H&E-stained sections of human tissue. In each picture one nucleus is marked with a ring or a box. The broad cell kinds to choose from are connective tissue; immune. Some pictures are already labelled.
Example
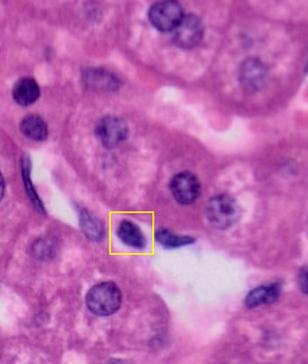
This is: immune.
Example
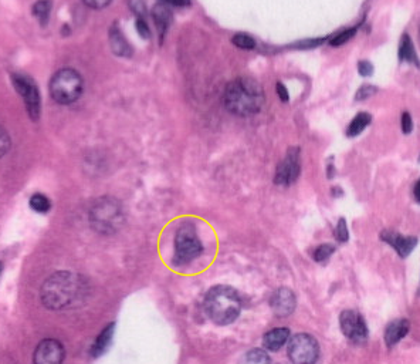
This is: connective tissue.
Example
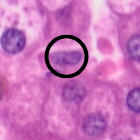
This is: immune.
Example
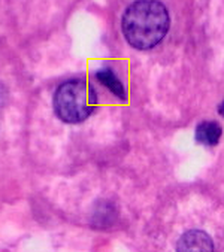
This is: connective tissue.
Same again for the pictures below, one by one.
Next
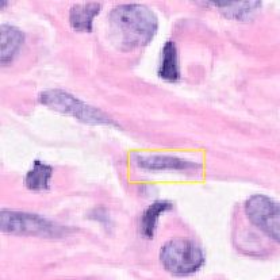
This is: connective tissue.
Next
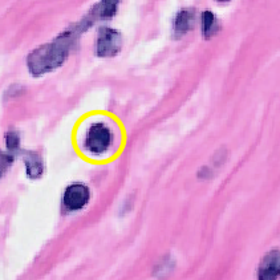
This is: immune.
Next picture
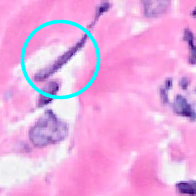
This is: connective tissue.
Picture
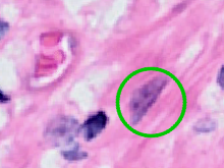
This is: connective tissue.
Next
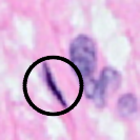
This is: connective tissue.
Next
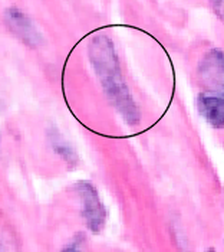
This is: connective tissue.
